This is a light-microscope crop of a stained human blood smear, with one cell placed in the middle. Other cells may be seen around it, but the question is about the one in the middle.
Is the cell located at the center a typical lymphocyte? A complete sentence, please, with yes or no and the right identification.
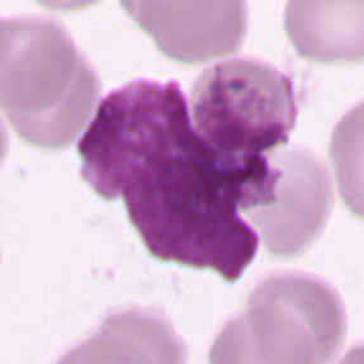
No, the cell in the centre of the crop is a smudge cell as opposed to a typical lymphocyte.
